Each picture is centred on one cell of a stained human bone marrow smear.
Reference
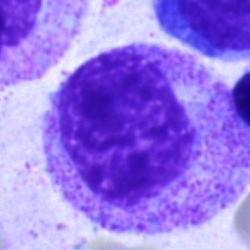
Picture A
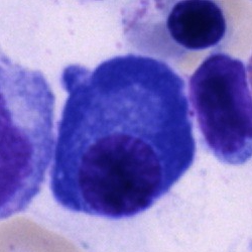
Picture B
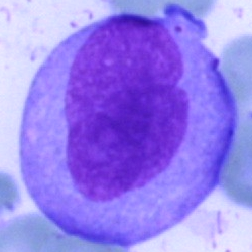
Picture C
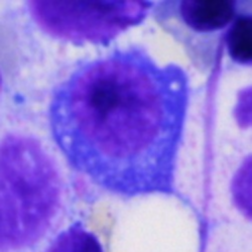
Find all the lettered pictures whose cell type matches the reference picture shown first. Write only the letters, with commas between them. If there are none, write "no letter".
no letter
